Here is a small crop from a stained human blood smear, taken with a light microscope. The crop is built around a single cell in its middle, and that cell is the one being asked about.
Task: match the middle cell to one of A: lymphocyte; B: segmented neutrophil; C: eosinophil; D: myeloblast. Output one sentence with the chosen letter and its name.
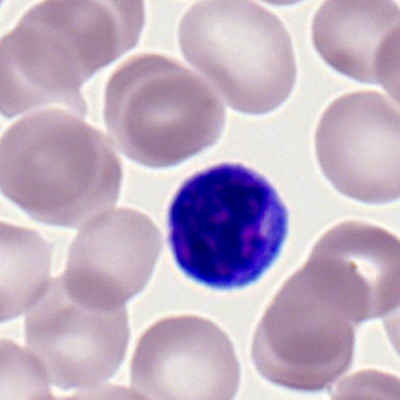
Option A is right, the centrally situated cell being a lymphocyte.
